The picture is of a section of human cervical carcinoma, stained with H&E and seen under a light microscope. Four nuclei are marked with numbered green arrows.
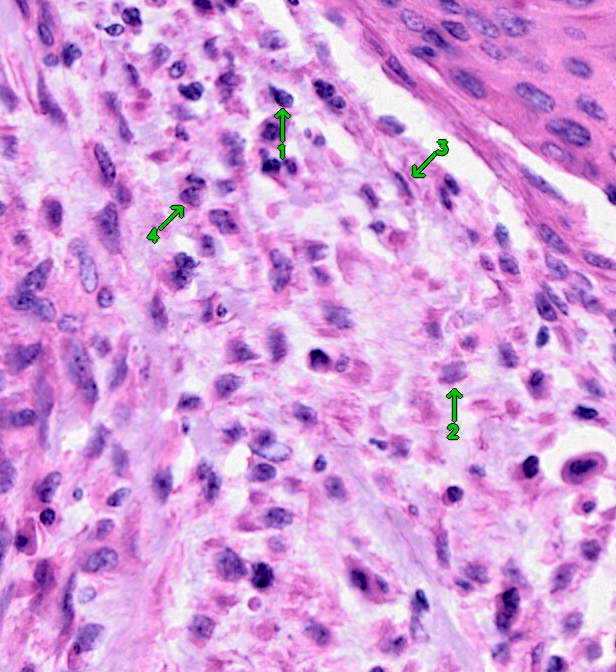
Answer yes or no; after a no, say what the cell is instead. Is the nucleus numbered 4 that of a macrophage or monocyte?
Yes.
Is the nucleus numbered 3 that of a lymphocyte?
No, it is a fibroblast.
